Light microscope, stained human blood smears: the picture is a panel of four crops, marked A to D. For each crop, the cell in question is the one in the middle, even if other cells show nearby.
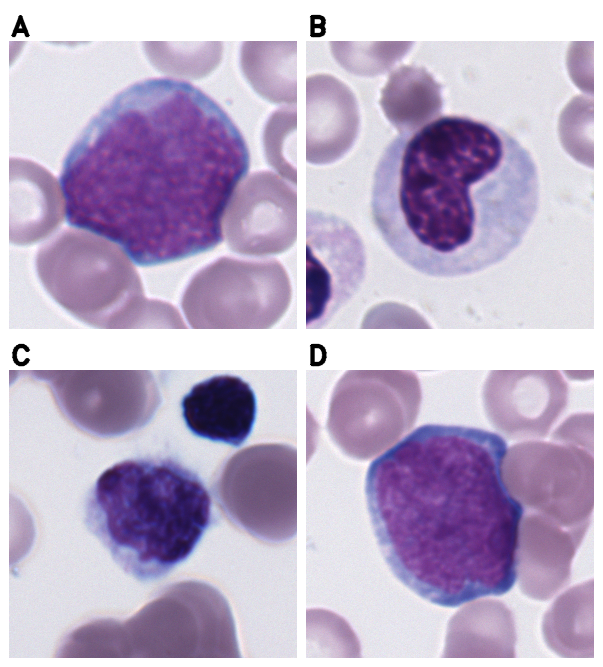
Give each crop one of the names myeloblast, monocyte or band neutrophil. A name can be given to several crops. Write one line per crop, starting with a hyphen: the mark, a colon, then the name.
- A: myeloblast
- B: band neutrophil
- C: monocyte
- D: myeloblast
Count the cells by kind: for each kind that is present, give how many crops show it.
myeloblast: 2
band neutrophil: 1
monocyte: 1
